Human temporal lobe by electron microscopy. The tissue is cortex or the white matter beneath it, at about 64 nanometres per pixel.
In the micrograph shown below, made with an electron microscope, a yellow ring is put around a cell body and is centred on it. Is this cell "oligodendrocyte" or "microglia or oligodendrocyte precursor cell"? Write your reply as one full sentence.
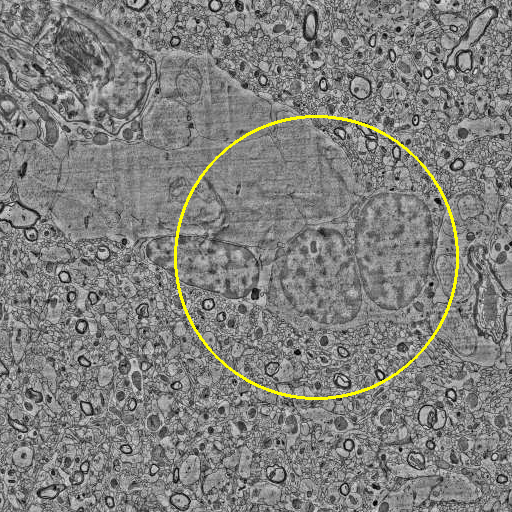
In the micrograph, an oligodendrocyte is the cell at the centre of the yellow ring.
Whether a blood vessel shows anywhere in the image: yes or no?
Yes, a blood vessel can be seen.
